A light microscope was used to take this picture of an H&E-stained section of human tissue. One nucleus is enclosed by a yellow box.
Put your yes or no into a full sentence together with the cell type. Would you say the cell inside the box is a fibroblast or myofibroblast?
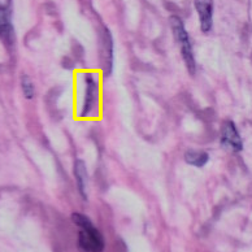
Yes, correct on this one: the cell inside the box is a fibroblast or myofibroblast.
